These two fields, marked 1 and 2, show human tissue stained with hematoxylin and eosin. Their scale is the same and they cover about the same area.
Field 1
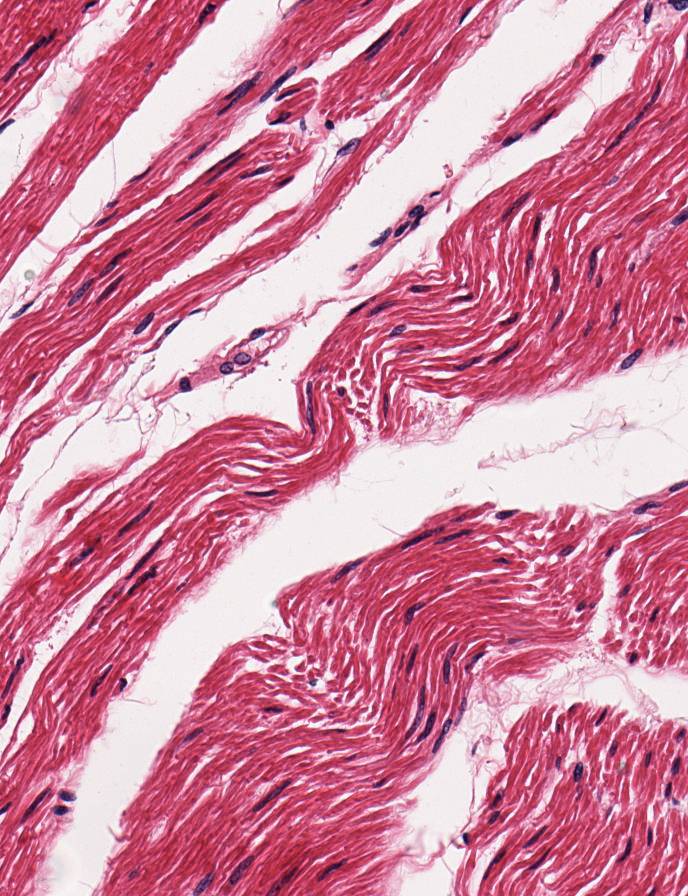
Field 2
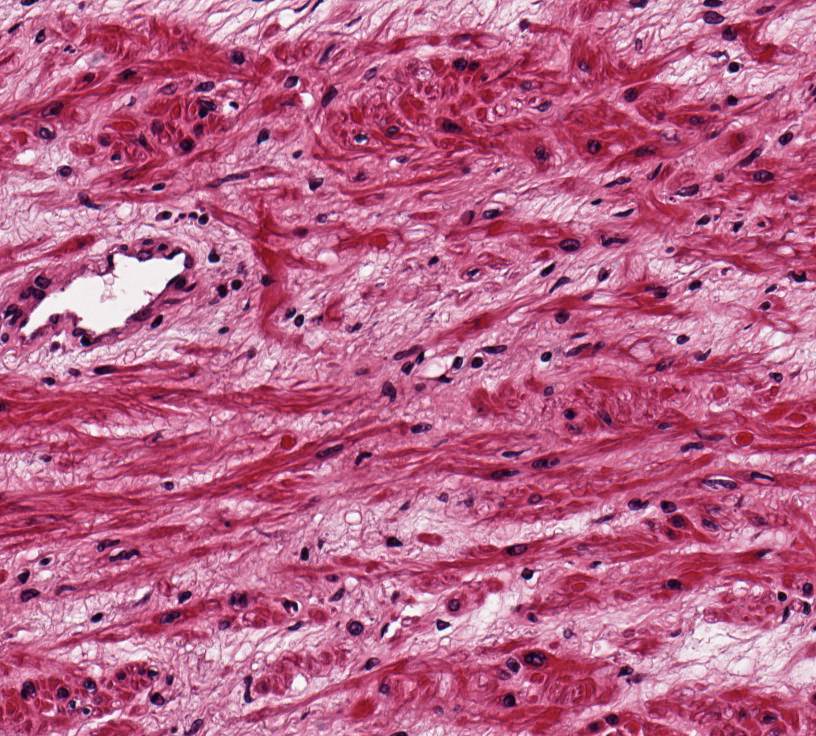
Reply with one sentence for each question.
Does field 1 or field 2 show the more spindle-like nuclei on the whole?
The nuclei are more elongated in field 1.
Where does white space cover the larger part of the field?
It is field 1 in which white space covers the larger part.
